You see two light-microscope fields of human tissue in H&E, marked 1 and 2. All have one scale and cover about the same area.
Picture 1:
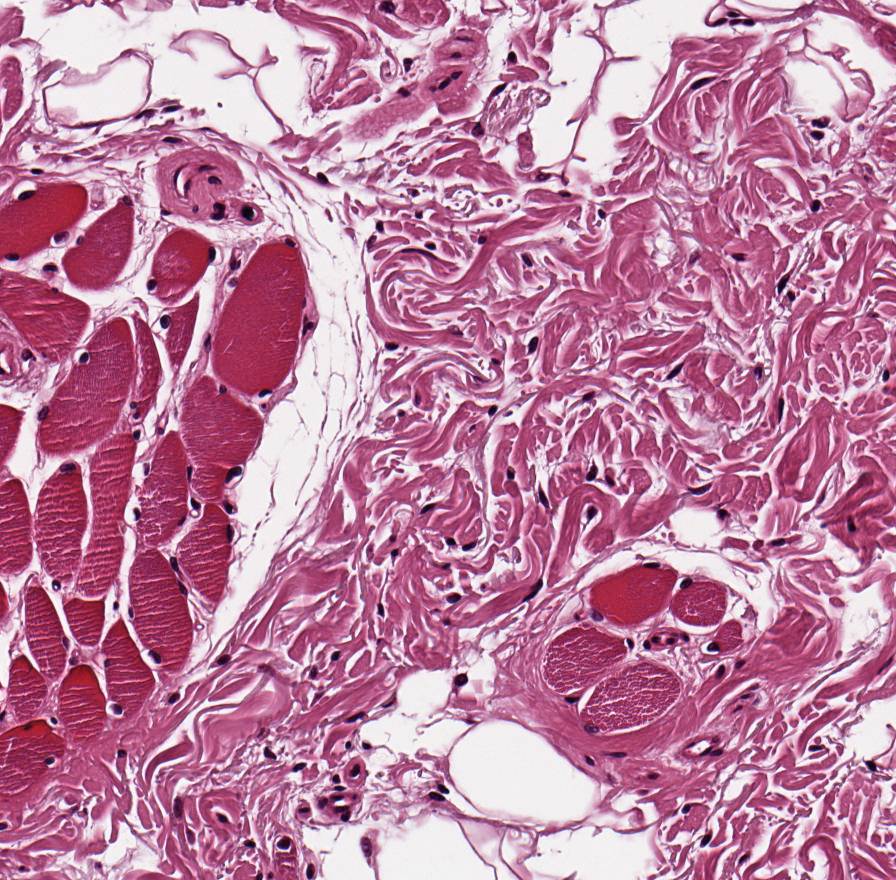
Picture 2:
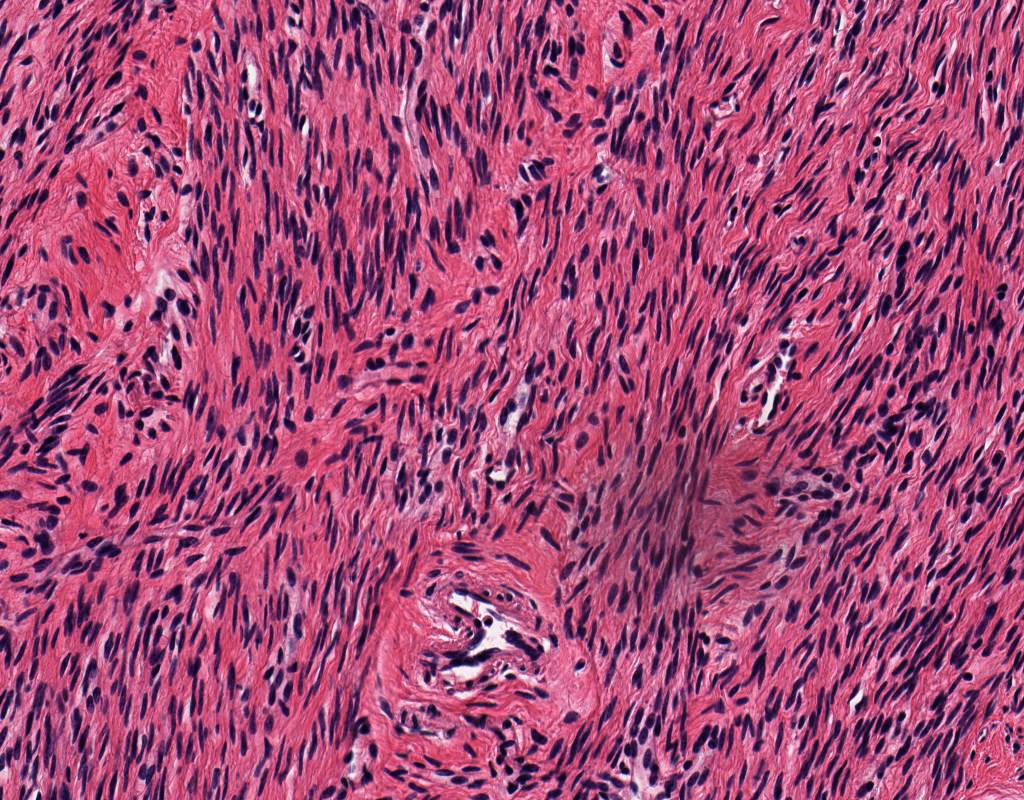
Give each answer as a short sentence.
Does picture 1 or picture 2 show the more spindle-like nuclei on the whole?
The nuclei are more elongated in picture 2.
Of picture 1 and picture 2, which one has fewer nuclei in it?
Fewer nuclei lie in picture 1 than in picture 2.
